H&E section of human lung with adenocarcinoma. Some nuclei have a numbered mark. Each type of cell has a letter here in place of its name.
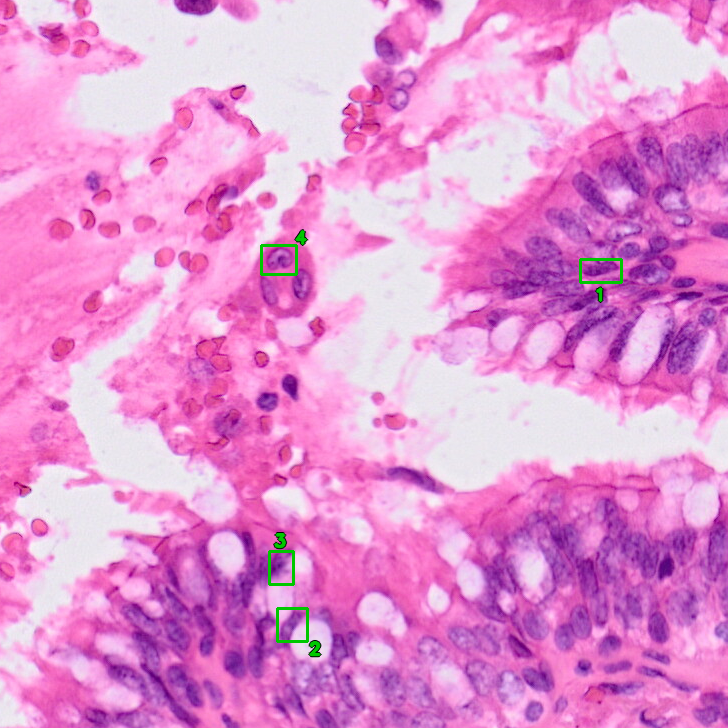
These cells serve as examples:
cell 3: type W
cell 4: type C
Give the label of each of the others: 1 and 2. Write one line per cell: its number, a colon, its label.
1: type W
2: type W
